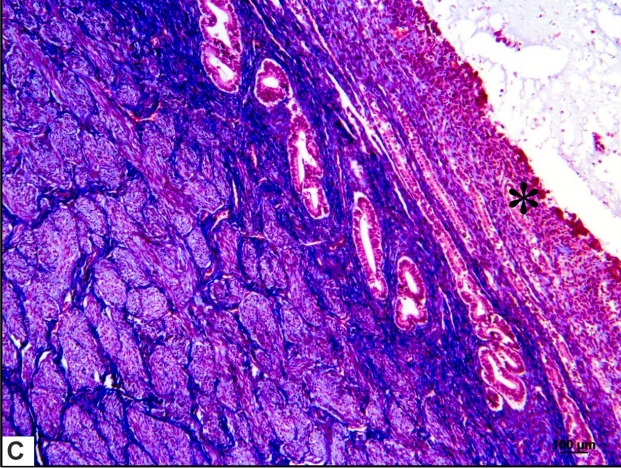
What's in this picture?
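This is the uterine wall stained with a trichrome, showing endometrium over muscle. On the left, smooth muscle bundles cut across appear as purple-red rounded blocks separated by blue collagen strands. Toward the right, a band rich in blue-staining connective tissue holds elongated glands running parallel to the surface, each lined by a single layer of epithelial cells around a clear or red-tinged lumen. At the surface facing the lumen lies a dense dark red layer of secretion, and beyond it the open lumen contains pale, frothy material.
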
